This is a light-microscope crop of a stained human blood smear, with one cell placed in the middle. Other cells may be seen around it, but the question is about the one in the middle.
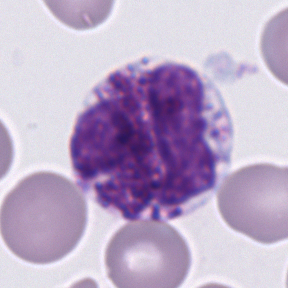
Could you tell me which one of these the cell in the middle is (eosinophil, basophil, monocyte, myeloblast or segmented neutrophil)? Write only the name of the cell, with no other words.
basophil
